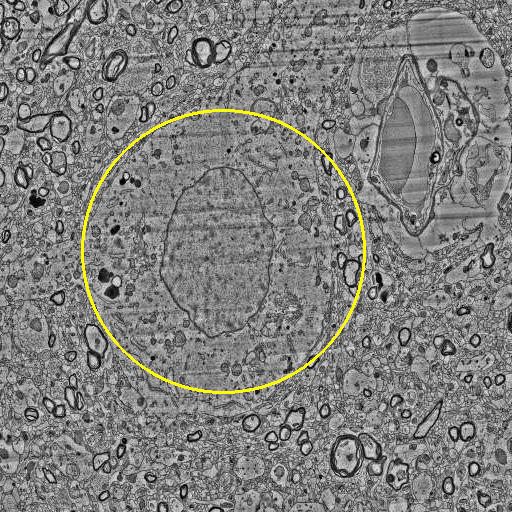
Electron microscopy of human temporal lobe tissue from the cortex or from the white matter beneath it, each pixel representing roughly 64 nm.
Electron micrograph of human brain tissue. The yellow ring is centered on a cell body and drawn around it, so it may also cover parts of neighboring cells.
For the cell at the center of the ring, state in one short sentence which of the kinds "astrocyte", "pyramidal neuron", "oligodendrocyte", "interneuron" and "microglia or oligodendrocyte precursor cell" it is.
This ring is centered on a pyramidal neuron.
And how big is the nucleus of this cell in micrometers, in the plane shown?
In this plane the nucleus is clearly longer than it is wide, at approximately 11 by 7 micrometres.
